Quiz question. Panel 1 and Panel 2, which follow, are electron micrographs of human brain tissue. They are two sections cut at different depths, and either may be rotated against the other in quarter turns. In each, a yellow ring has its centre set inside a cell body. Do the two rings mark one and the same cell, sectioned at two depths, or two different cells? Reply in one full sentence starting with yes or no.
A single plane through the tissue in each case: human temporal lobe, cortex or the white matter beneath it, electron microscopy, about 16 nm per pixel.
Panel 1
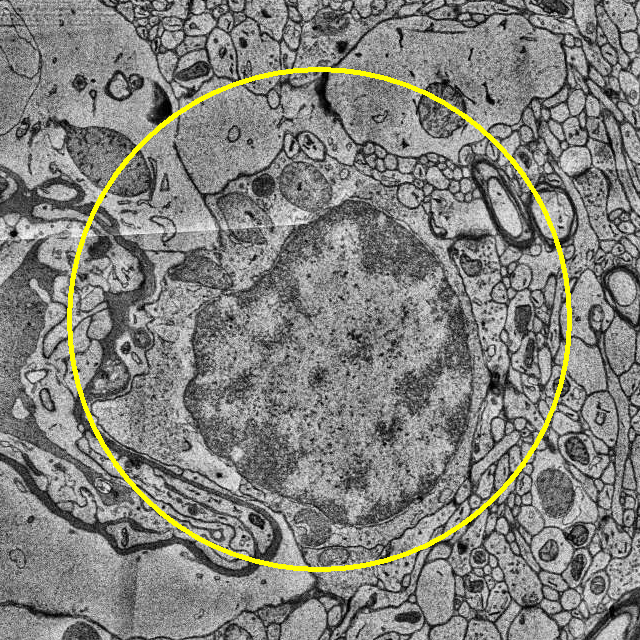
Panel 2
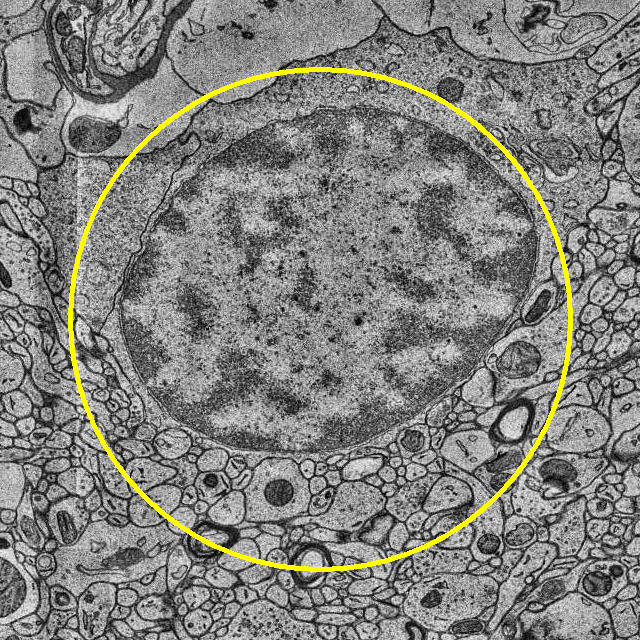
Yes, the same cell turns up inside each of the two rings.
